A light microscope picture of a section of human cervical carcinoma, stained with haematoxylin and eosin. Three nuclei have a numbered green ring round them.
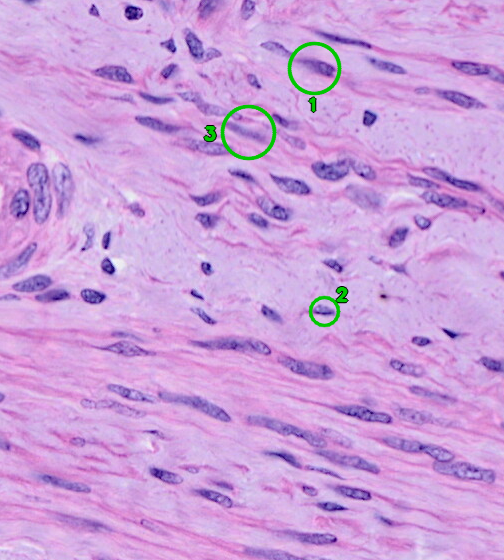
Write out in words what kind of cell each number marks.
Cell 1 is a smooth muscle cell, cell 2 is a fibroblast and cell 3 is a smooth muscle cell.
